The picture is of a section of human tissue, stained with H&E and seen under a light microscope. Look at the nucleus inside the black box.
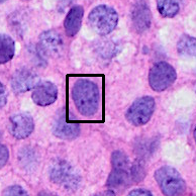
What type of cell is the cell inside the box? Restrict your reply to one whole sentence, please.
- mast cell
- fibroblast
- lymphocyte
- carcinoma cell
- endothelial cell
In the stained section, the cell inside the box is a carcinoma cell.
